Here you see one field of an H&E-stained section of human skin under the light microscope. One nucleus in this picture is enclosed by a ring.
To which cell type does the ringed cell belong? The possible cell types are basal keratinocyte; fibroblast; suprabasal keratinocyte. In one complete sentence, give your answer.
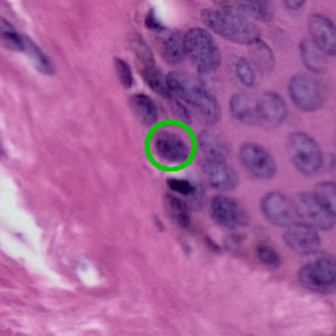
The identity of the ringed cell is that of a basal keratinocyte.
